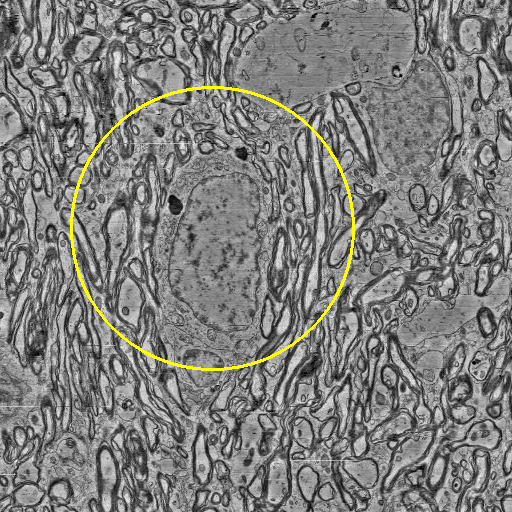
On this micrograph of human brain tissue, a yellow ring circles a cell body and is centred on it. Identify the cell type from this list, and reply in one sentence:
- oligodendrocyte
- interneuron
The cell at the centre is an interneuron.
